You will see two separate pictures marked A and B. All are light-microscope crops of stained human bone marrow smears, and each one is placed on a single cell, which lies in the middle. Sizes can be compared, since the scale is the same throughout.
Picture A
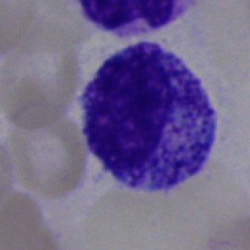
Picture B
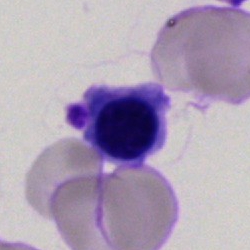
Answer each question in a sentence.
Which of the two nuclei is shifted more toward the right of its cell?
Seen within its cell, the nucleus in picture B lies further toward the right.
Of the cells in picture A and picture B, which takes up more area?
It is the cell in picture A, about 2.5 times as large in area as the cell in picture B.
